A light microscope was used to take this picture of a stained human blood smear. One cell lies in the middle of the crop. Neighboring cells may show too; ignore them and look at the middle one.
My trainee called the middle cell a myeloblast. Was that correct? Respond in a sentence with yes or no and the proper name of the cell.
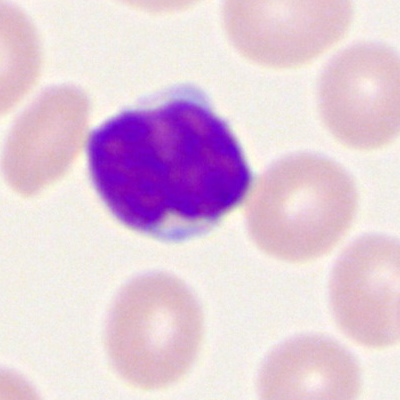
No, it is a lymphocyte, not a myeloblast, that lies at the centre of the crop.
